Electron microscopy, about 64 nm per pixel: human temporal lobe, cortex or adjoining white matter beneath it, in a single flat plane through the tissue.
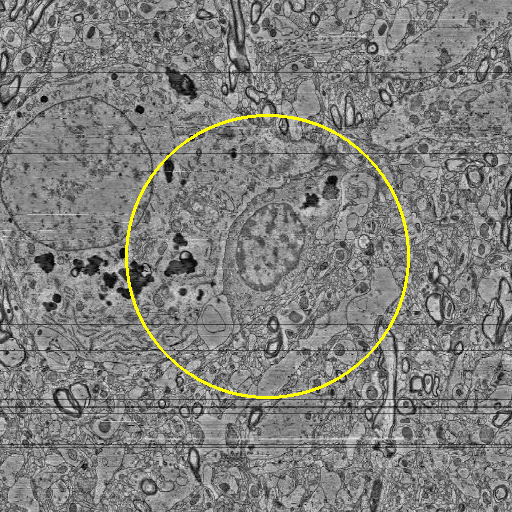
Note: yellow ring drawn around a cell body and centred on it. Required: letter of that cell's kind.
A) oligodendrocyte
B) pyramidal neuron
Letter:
A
